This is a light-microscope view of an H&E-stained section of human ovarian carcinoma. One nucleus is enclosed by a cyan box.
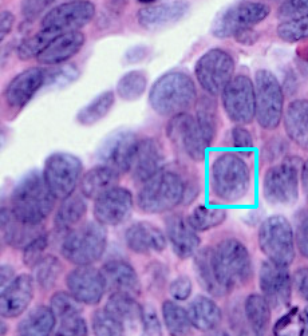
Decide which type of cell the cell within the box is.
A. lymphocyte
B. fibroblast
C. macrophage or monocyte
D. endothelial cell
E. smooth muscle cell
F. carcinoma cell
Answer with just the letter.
F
